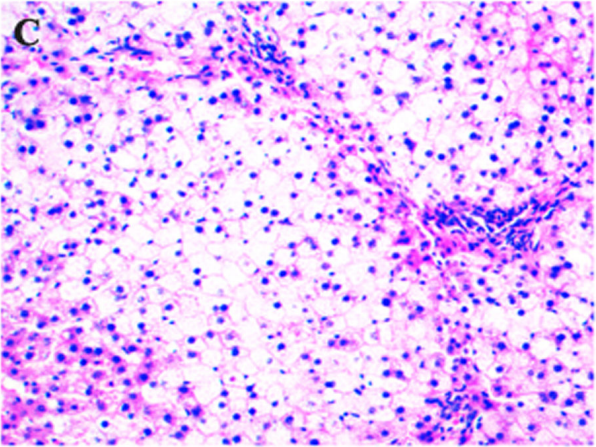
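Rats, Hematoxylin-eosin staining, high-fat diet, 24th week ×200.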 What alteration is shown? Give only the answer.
portal inflammation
